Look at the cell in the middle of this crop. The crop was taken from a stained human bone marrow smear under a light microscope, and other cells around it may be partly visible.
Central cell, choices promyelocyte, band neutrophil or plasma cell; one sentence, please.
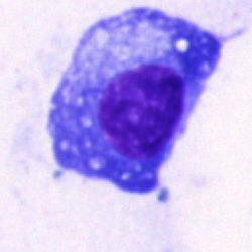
In short, the cell at the center is a plasma cell.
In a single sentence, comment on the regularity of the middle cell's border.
The cell is bounded by a ragged or projection-bearing margin rather than a smooth one.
